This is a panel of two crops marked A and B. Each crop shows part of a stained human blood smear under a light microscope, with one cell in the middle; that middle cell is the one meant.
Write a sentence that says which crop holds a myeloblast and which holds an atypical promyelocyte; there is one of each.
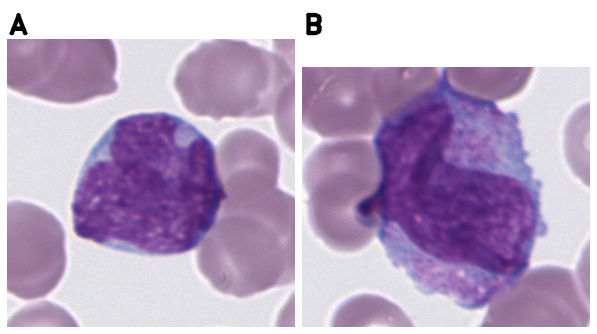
The cell centred in crop A is a myeloblast, and the one centred in crop B is an atypical promyelocyte.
